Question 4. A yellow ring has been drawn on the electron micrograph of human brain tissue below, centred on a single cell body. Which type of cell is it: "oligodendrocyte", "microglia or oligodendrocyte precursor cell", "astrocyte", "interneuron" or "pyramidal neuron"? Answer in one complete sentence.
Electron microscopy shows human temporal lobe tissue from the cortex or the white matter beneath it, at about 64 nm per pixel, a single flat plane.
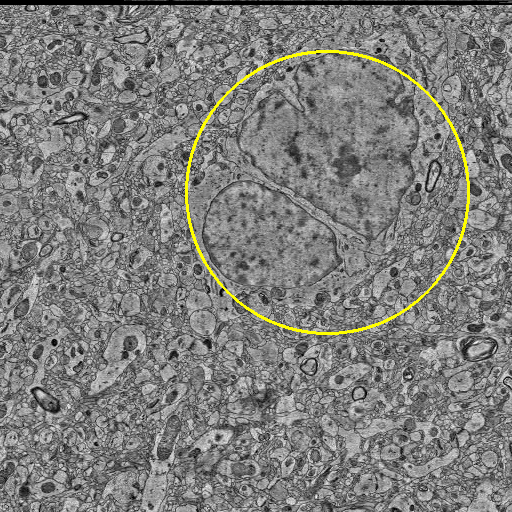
This cell body belongs to an interneuron.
